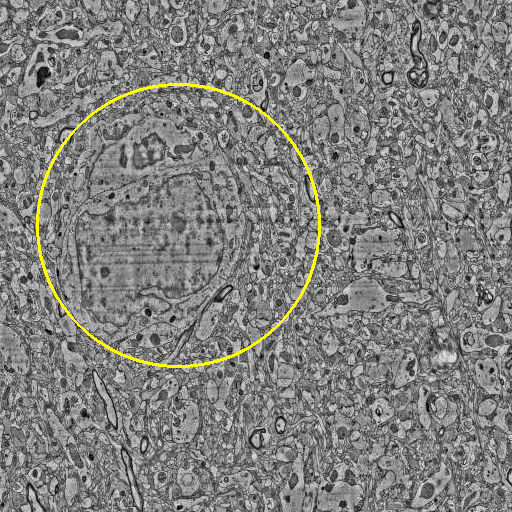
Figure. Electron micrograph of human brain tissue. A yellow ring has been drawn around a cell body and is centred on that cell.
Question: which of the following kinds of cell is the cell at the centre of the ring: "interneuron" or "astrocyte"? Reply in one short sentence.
The cell at the centre of the ring is an interneuron.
